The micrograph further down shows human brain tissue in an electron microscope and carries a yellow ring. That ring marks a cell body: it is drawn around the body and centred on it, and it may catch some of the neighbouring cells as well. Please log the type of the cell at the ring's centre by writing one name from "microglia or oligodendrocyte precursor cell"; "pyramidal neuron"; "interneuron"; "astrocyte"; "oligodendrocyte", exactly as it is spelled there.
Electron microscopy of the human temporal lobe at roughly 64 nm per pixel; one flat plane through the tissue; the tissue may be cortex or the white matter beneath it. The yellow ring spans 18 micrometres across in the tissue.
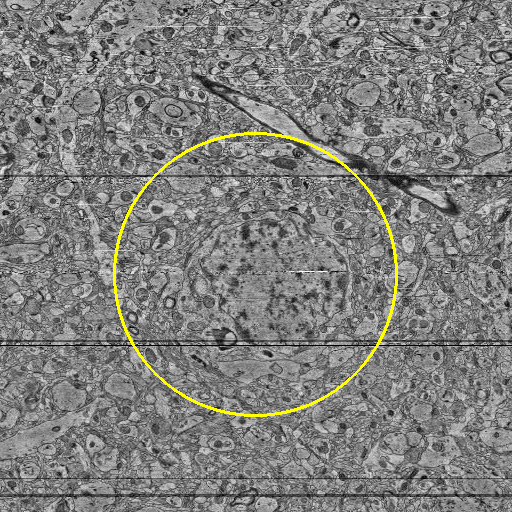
interneuron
